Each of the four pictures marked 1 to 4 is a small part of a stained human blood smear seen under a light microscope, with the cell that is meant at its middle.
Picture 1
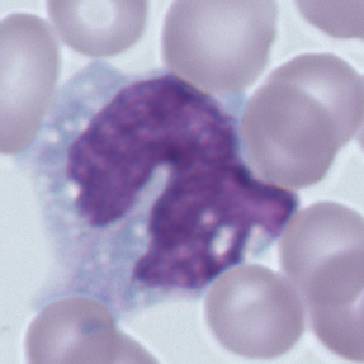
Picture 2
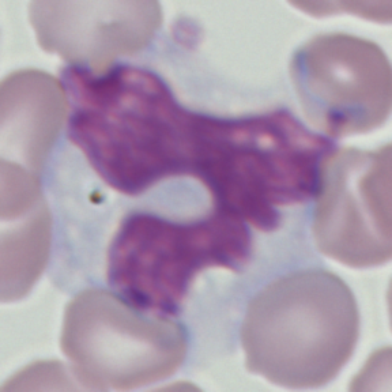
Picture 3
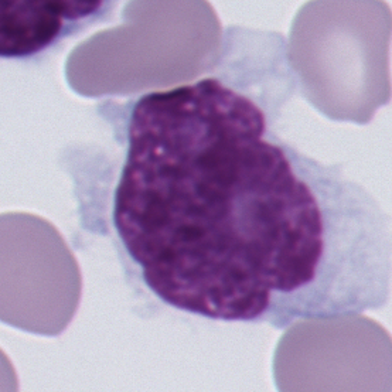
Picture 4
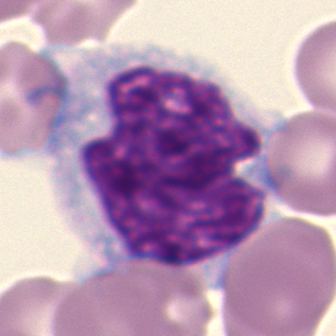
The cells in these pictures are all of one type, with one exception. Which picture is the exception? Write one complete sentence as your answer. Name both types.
Picture 3 is the odd one out: it shows a hairy cell, while the others show monocytes.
